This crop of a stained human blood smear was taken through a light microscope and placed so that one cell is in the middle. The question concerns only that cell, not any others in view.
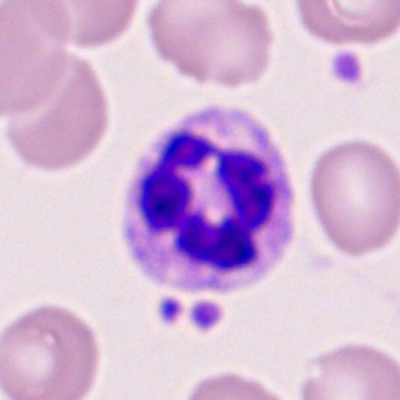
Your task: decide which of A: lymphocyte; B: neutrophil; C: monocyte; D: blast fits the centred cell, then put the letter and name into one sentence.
For this crop, option B is right, the centered cell being a neutrophil.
